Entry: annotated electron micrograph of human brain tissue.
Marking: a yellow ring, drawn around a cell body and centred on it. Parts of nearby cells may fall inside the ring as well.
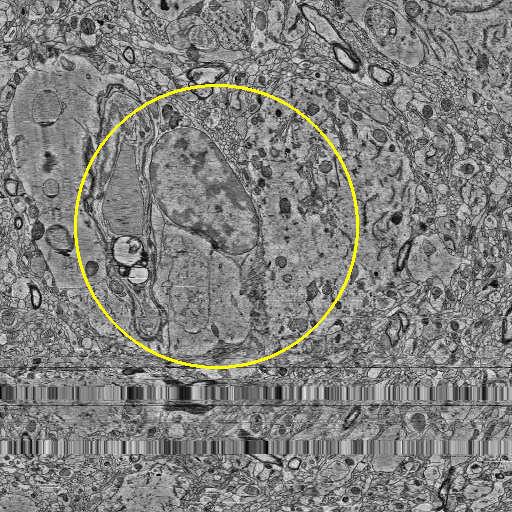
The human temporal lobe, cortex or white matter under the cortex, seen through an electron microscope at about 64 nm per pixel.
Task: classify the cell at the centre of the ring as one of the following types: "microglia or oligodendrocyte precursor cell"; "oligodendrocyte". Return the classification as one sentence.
The marked cell is classified as a microglial cell or oligodendrocyte precursor cell.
